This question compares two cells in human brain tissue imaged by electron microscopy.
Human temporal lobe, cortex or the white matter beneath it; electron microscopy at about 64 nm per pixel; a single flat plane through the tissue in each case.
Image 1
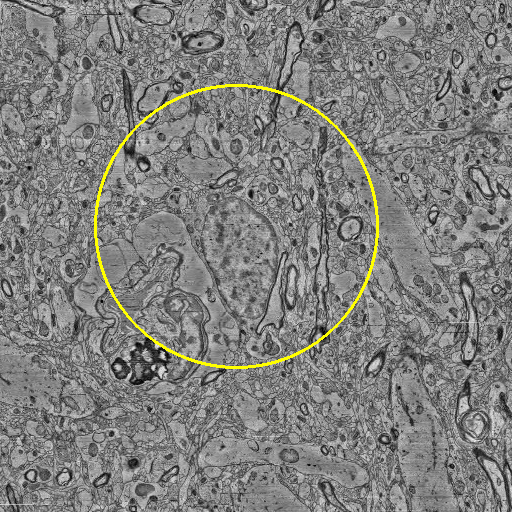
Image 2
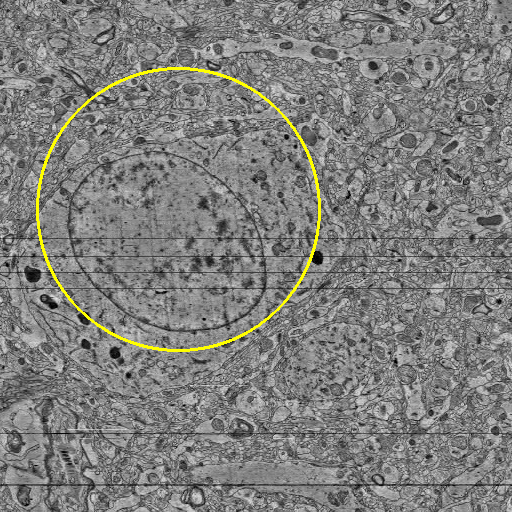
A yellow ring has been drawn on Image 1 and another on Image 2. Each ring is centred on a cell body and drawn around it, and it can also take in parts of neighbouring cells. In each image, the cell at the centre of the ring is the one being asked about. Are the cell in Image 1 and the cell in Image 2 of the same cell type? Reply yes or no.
no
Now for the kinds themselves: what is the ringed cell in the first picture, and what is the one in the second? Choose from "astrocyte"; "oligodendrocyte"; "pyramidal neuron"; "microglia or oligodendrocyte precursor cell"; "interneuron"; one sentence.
Here the first cell is an oligodendrocyte and the second cell is a pyramidal neuron.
